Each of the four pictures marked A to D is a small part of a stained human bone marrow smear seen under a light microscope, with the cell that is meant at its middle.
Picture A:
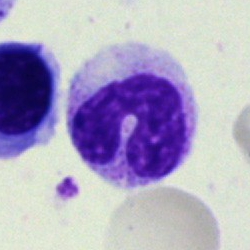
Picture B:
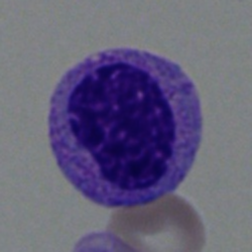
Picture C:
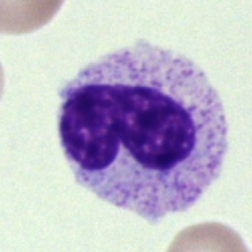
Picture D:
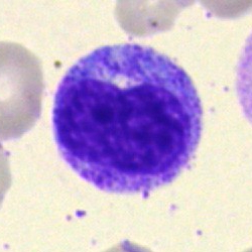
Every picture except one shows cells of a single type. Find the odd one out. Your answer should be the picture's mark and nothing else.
A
